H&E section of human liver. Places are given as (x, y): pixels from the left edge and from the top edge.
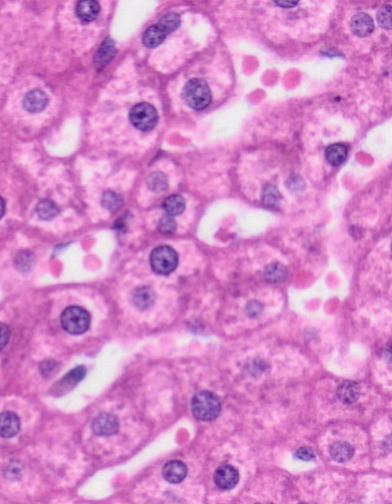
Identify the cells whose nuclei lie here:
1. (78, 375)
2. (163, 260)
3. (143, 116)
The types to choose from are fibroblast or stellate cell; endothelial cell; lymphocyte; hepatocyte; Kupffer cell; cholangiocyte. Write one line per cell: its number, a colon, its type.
1: Kupffer cell
2: hepatocyte
3: hepatocyte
